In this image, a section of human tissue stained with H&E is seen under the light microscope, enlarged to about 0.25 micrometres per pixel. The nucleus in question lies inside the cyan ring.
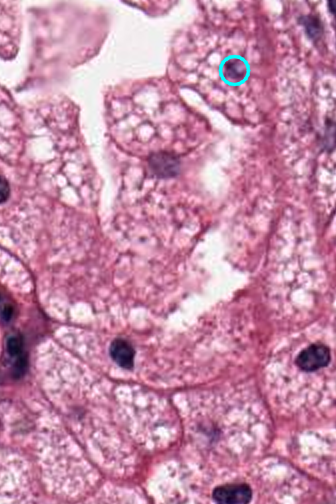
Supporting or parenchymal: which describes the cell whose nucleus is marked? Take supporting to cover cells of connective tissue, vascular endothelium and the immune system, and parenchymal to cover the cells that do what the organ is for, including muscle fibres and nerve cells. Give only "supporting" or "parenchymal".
parenchymal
